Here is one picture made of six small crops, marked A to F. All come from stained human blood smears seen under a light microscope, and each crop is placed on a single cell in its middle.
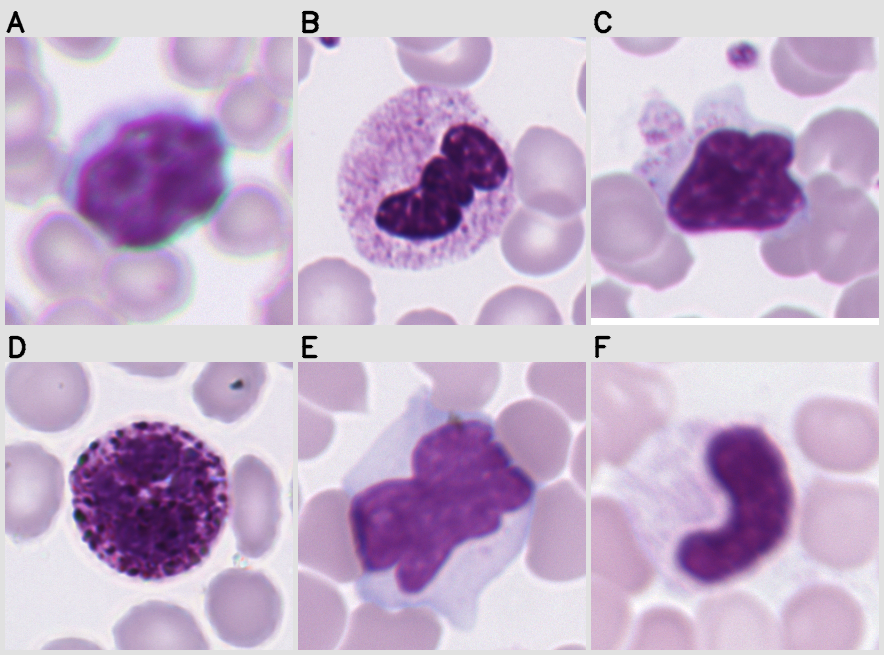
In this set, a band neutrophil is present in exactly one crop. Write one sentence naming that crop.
Crop F alone, of all the crops, shows a band neutrophil.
